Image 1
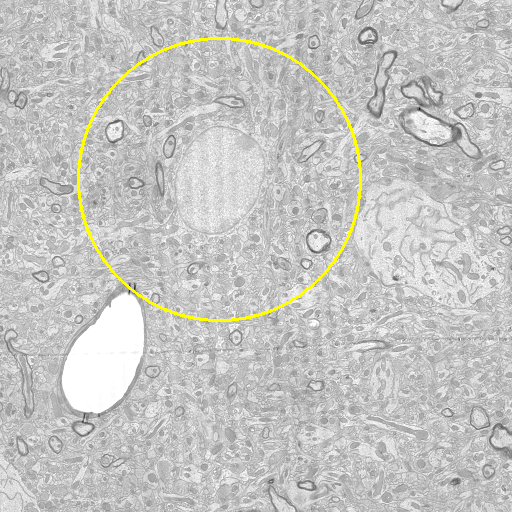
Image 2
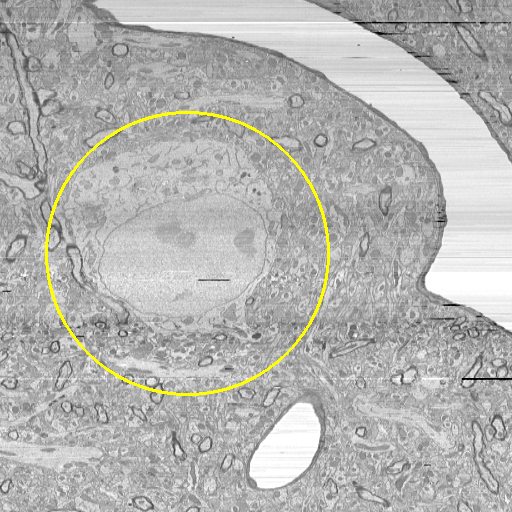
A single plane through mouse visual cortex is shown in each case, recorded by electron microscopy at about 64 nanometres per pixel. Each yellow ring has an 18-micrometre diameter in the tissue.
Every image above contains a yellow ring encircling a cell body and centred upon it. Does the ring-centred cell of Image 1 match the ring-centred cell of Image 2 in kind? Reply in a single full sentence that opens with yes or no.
No, the cell at the ring's centre in Image 1 is a separate kind from that in Image 2.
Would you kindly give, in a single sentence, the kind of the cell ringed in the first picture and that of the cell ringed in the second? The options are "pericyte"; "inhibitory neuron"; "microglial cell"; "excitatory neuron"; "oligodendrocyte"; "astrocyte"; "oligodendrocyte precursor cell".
The second cell is an excitatory neuron, and the first cell is an astrocyte.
